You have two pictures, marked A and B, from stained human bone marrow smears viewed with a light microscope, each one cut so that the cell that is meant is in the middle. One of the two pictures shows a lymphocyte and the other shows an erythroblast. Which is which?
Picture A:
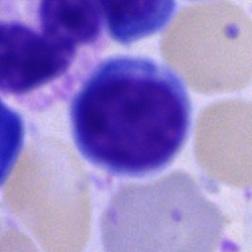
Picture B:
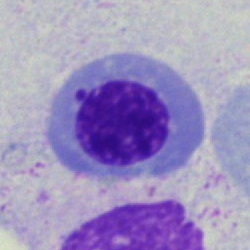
A: lymphocyte
B: erythroblast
